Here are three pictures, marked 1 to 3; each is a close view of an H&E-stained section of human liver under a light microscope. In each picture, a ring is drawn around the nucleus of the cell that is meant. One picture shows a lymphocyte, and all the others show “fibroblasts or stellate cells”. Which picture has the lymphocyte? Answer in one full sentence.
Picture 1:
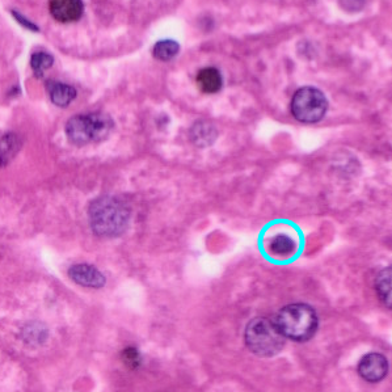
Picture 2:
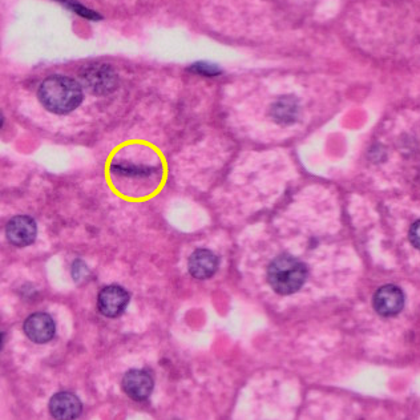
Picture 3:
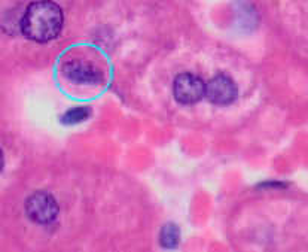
Picture 1 is the one that shows the lymphocyte.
